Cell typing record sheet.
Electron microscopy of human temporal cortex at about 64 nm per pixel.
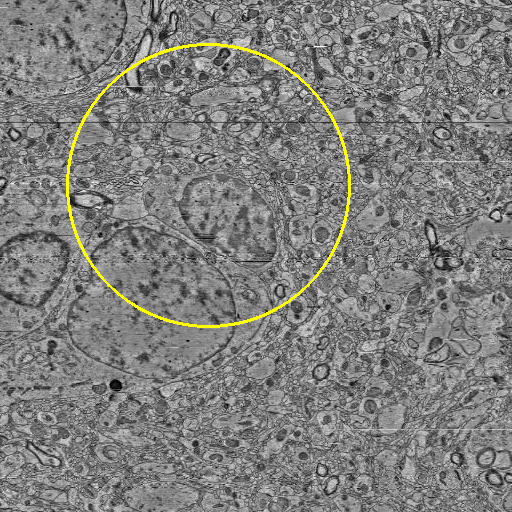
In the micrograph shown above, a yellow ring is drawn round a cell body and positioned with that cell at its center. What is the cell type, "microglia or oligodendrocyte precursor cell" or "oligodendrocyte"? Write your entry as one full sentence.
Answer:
The cell body at the center of the ring belongs to an oligodendrocyte.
